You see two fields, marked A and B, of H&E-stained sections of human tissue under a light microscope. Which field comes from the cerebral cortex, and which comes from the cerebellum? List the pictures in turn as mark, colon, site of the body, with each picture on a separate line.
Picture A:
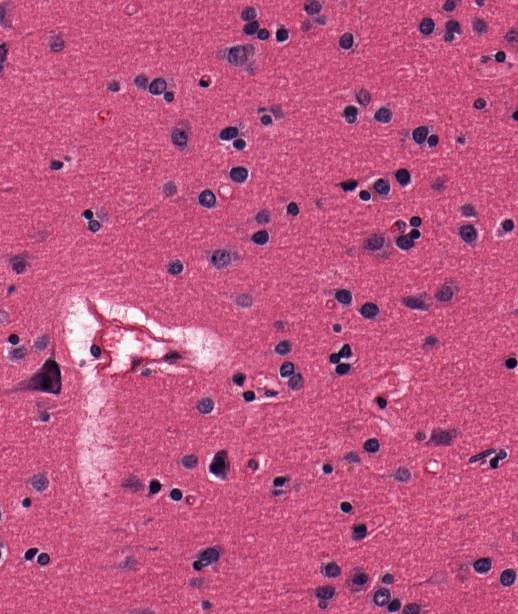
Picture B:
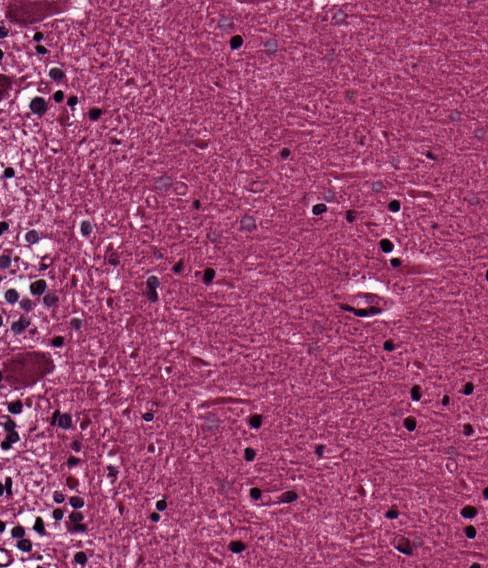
A: cerebral cortex
B: cerebellum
